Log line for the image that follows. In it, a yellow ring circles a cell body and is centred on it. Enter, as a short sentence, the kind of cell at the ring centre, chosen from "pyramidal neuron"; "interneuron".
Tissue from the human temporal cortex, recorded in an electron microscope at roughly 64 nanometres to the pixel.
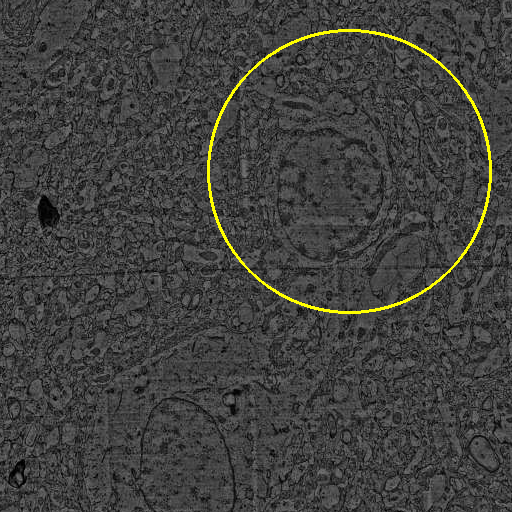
The ring centre is occupied by an interneuron.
